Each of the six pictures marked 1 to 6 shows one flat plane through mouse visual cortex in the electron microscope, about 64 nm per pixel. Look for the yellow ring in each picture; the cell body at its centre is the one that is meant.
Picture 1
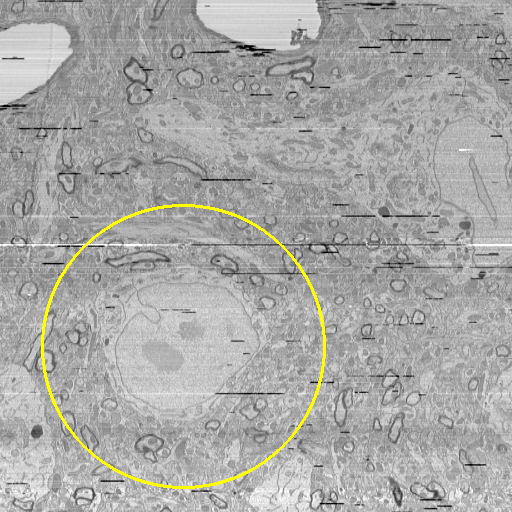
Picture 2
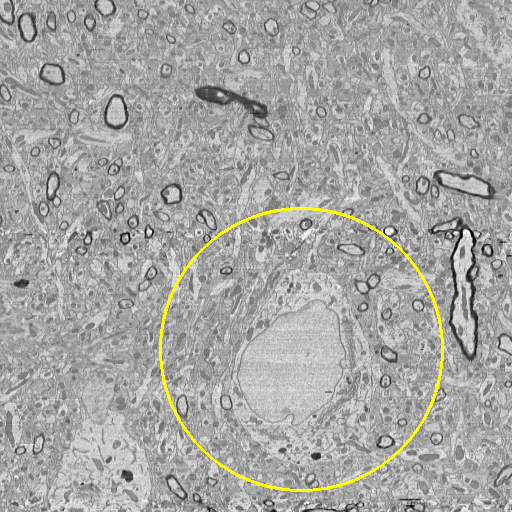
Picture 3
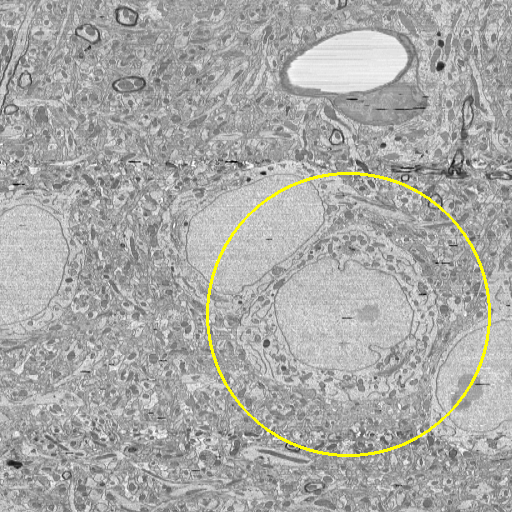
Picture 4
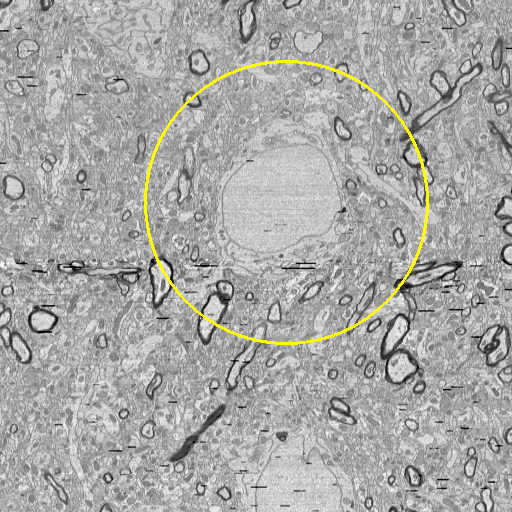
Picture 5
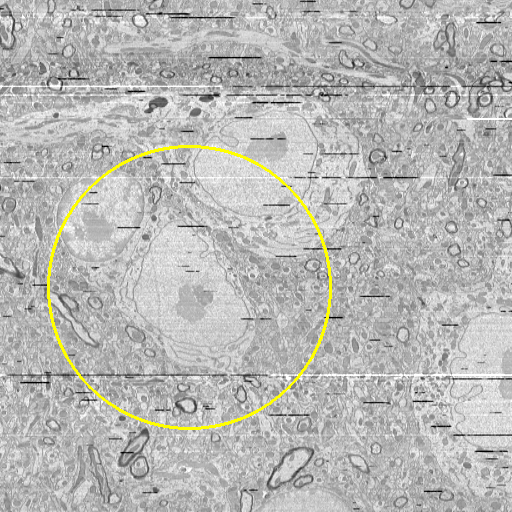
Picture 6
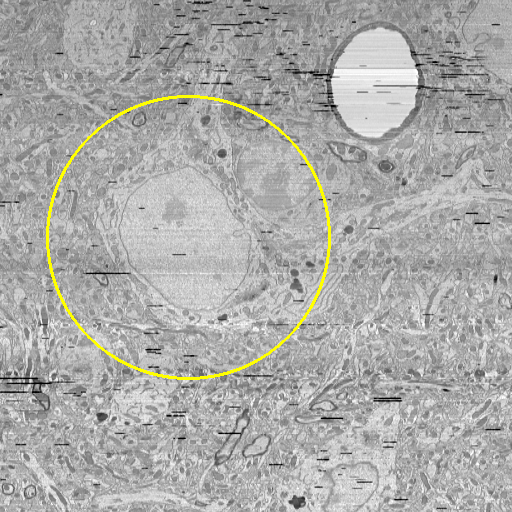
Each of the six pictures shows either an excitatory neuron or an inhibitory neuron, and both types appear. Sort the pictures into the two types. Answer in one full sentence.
Pictures 1 and 4 show excitatory neurons; pictures 2, 3, 5 and 6 show inhibitory neurons.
